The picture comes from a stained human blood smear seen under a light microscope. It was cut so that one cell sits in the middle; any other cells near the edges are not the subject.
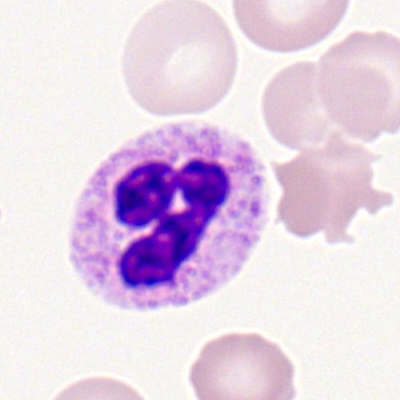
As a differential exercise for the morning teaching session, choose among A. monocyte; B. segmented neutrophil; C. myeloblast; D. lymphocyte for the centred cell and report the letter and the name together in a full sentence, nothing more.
What sits in the middle of the crop is a segmented neutrophil, and option B is correct.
